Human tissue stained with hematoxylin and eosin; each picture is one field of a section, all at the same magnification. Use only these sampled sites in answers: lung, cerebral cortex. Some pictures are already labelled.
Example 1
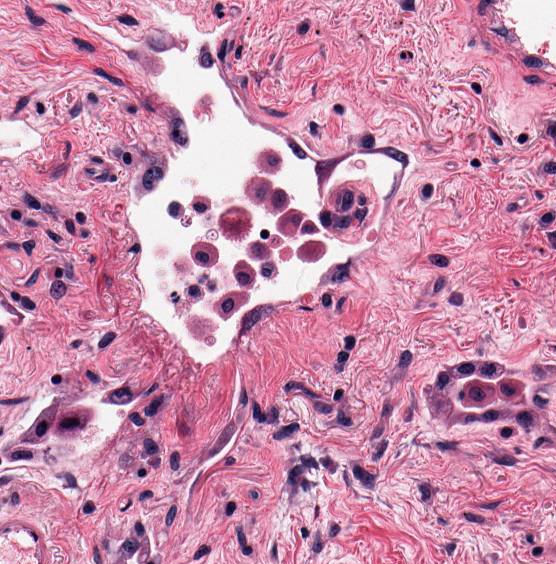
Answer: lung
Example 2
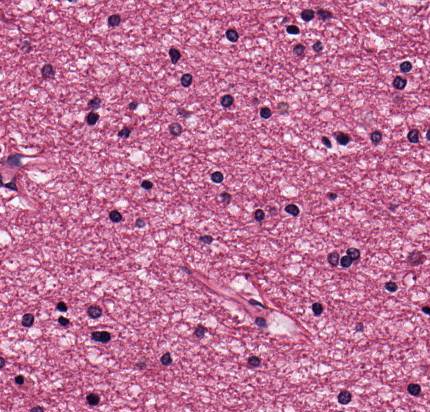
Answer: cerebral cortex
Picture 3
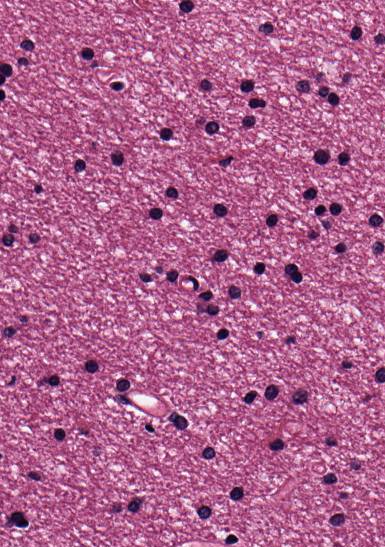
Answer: cerebral cortex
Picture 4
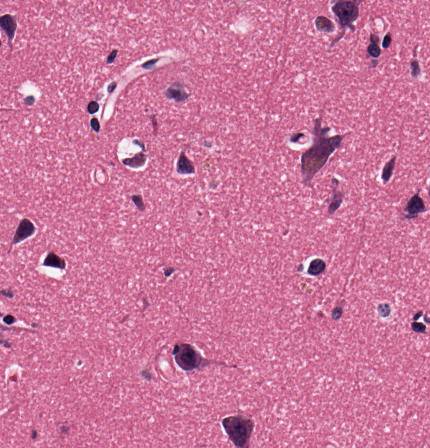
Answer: cerebral cortex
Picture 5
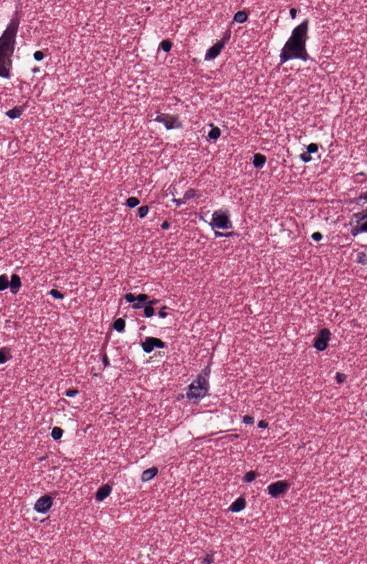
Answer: cerebral cortex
